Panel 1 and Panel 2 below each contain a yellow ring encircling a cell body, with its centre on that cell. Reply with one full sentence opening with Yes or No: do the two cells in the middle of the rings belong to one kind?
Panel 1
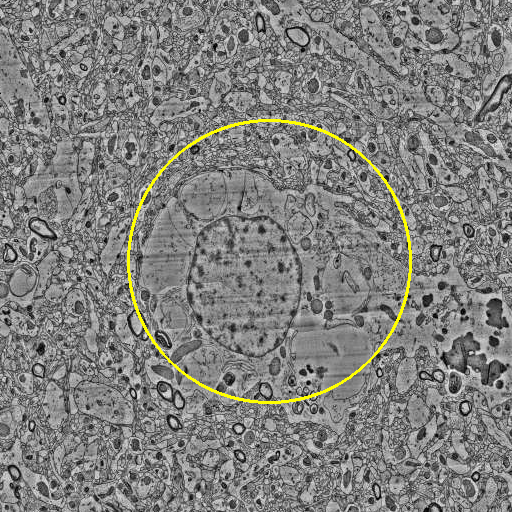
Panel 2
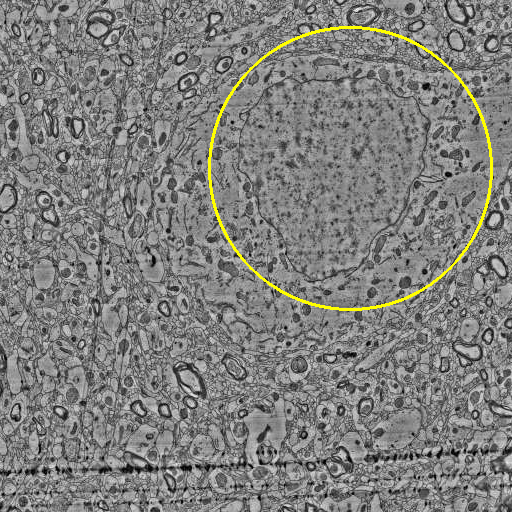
No, the cells at the middle of the Panel 1 ring and the Panel 2 ring are of two kinds.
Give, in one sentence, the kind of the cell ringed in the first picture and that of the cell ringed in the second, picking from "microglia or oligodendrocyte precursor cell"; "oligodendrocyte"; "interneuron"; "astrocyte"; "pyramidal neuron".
For the first picture it is an astrocyte; for the second, a pyramidal neuron.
